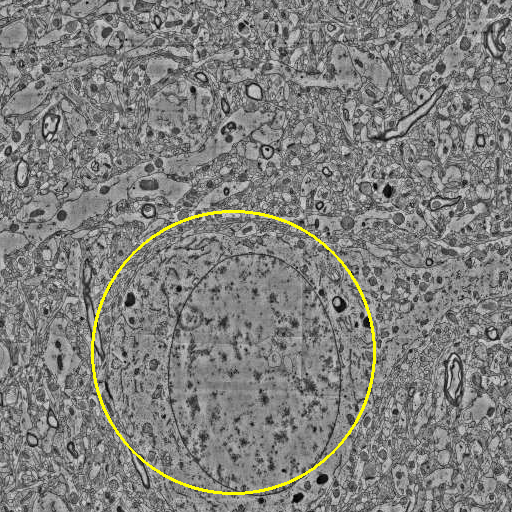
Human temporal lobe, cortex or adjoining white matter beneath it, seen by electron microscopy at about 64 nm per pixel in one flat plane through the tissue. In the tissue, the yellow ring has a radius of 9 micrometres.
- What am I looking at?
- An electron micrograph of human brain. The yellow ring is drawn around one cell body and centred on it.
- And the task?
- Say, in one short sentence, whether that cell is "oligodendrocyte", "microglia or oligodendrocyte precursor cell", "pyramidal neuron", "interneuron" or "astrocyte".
The cell in the middle of the ring is a pyramidal neuron.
